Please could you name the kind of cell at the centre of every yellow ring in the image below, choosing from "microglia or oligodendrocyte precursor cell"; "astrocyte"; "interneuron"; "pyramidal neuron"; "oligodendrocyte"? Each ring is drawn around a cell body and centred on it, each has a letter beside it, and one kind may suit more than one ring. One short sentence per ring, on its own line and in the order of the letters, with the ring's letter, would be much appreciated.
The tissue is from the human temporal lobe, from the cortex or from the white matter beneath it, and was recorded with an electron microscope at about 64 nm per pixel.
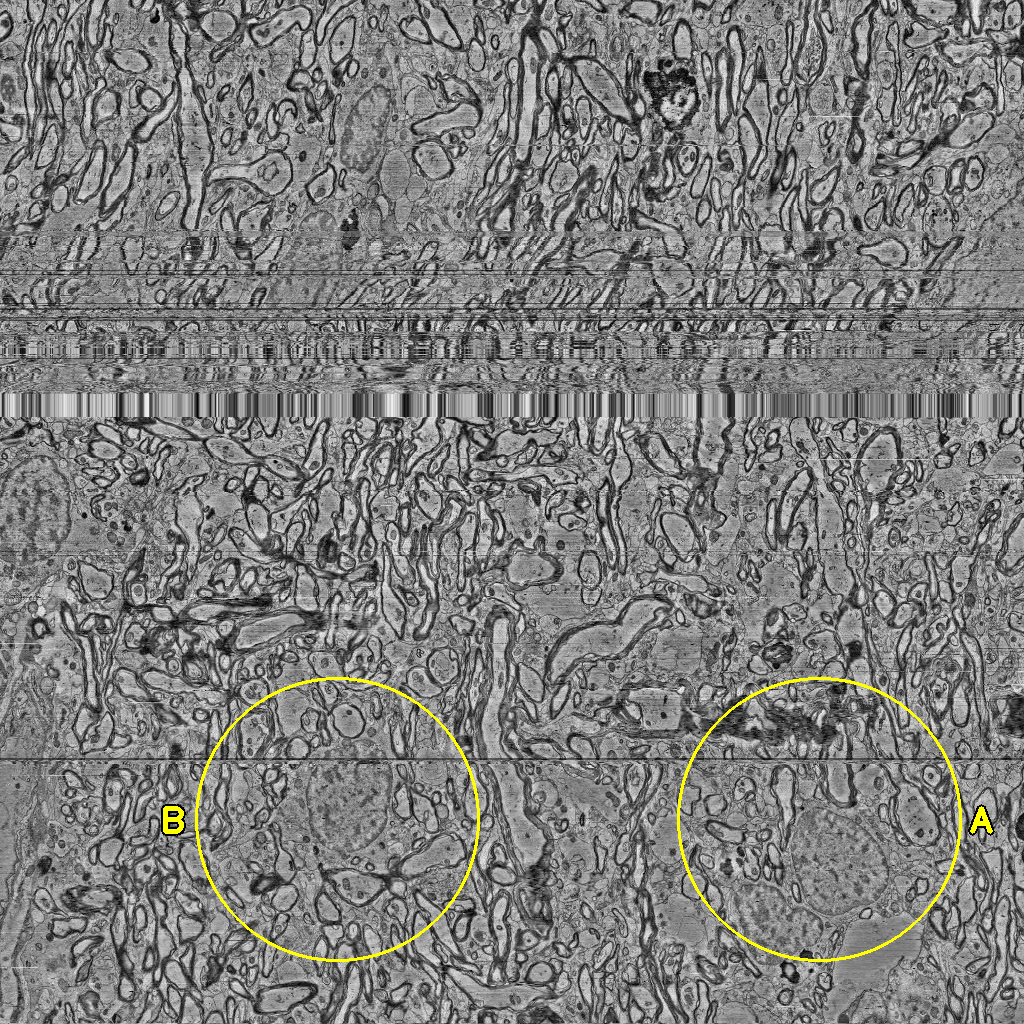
The cell in the middle of ring A is an oligodendrocyte.
The cell in the middle of ring B is an oligodendrocyte.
